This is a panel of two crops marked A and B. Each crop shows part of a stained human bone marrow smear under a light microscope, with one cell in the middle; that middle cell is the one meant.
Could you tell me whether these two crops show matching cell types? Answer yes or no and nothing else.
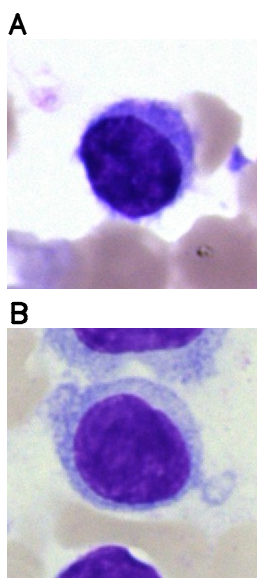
yes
